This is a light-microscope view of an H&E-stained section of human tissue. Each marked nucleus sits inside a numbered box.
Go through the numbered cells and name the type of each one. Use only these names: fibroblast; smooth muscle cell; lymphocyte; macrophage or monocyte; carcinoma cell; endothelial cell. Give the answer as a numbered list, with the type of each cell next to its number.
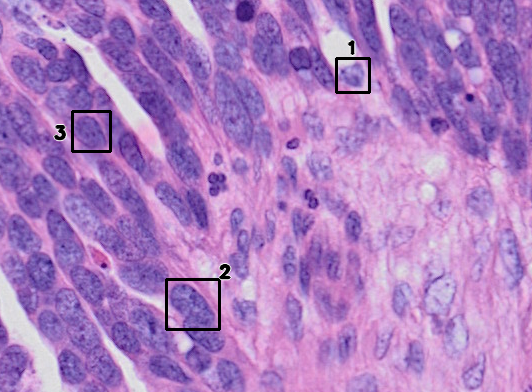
1. macrophage or monocyte
2. carcinoma cell
3. carcinoma cell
